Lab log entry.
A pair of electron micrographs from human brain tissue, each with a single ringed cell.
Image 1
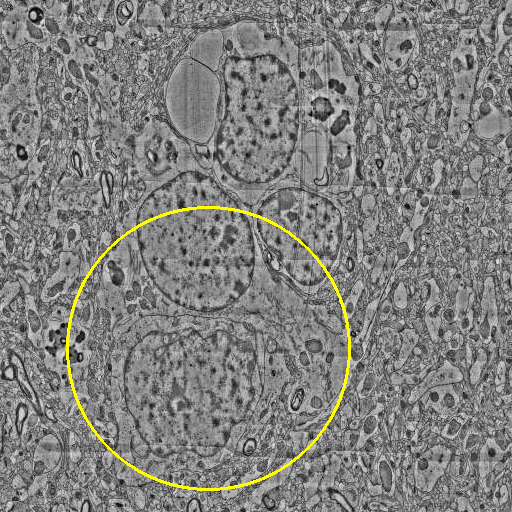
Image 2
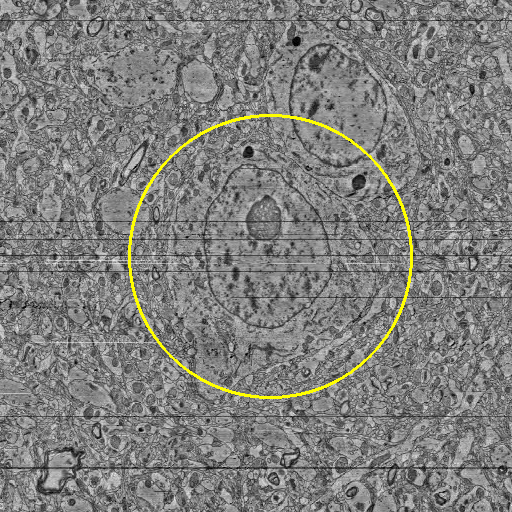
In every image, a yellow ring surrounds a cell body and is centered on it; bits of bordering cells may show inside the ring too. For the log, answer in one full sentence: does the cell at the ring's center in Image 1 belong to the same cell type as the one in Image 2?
No, the cells at the ring centers in Image 1 and Image 2 are of separate types.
